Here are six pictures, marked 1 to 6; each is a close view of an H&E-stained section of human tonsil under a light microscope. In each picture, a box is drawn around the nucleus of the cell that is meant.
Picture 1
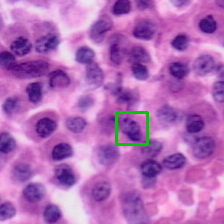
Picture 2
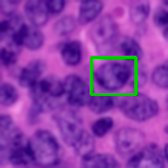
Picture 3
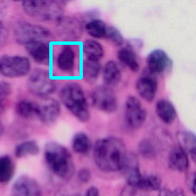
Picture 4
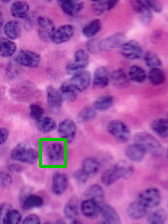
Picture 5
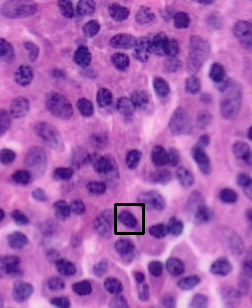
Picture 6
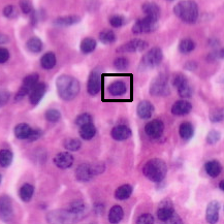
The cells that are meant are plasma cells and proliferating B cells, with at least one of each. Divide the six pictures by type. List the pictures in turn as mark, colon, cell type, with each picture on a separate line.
1: plasma cell
2: proliferating B cell
3: proliferating B cell
4: plasma cell
5: plasma cell
6: plasma cell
